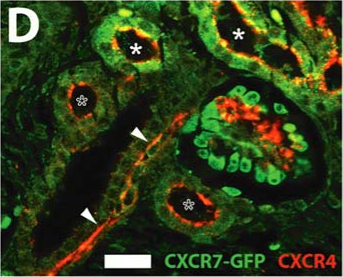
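Several cross-cut tubules with small central lumens are ringed by green epithelial cells, with red lining the lumen-facing border, and a thin red-walled elongated vessel runs diagonally past them. To the right a glomerulus shows green cells at its rim and red patches in its tuft that do not overlap the green.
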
